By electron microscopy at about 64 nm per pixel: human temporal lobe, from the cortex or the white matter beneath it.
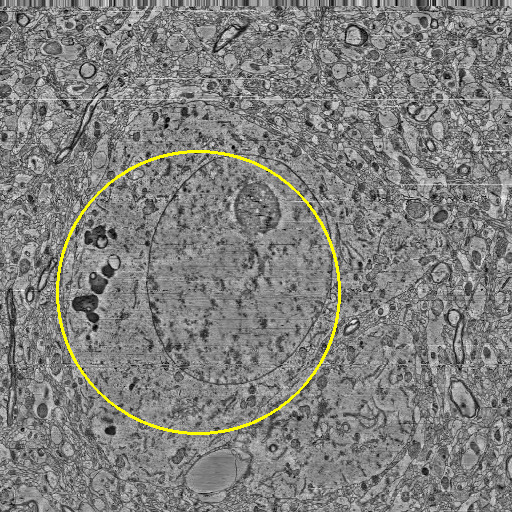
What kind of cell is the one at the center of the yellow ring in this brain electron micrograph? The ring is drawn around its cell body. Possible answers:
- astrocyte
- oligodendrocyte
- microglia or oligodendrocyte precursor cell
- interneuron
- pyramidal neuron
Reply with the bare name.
pyramidal neuron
